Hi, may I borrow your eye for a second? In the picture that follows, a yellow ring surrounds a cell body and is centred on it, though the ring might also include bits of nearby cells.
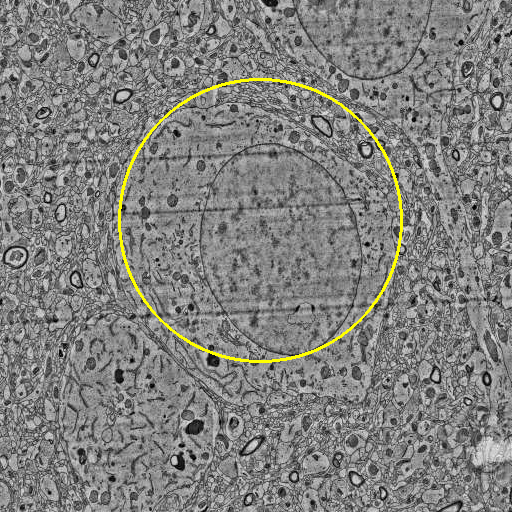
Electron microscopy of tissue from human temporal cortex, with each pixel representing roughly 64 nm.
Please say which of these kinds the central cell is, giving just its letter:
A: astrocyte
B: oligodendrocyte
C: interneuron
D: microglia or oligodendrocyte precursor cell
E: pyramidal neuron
E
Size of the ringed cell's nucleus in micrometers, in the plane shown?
In this plane the nucleus measures roughly 14 by 11 micrometers.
